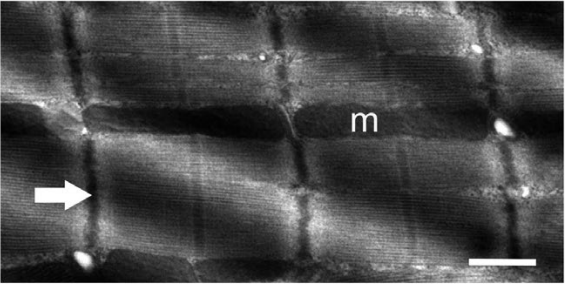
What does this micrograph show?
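This transmission electron micrograph shows cardiac muscle with regularly arranged myofibrils and mitochondria. Parallel myofibrils with fine longitudinal striation run horizontally across the field, interrupted at regular intervals by dark transverse Z-lines. Elongated, darker mitochondria lie in orderly rows between the myofibrils, aligned with them and bounded by the Z-lines.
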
